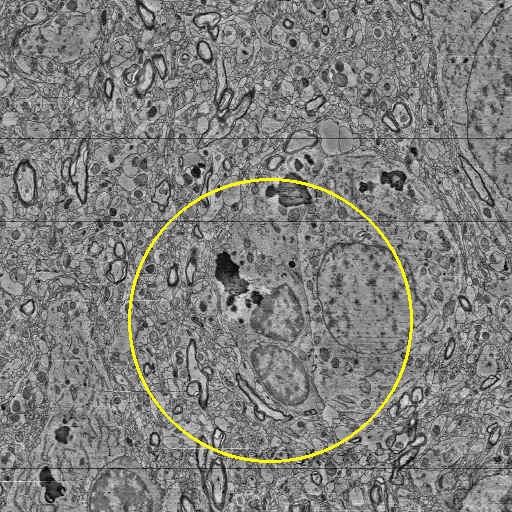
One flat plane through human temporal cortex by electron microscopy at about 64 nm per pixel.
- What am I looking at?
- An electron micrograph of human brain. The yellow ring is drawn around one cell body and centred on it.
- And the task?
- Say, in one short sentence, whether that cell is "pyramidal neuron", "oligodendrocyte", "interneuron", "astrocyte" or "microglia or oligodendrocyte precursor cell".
The cell in the middle of the ring is an oligodendrocyte.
